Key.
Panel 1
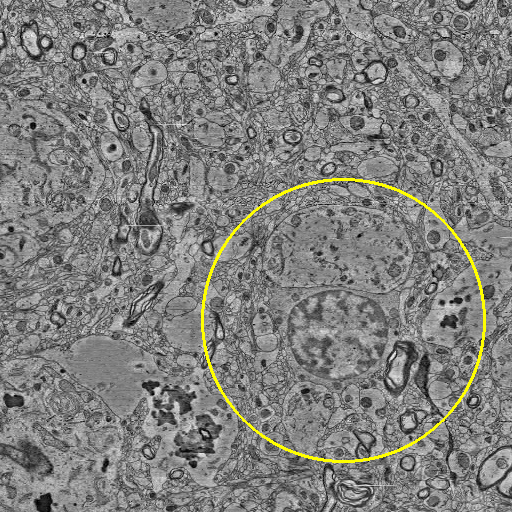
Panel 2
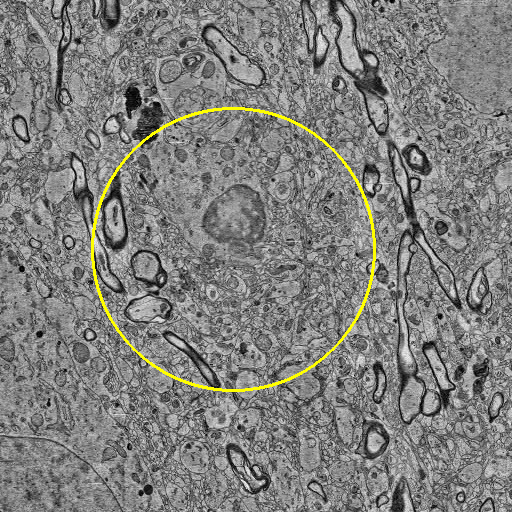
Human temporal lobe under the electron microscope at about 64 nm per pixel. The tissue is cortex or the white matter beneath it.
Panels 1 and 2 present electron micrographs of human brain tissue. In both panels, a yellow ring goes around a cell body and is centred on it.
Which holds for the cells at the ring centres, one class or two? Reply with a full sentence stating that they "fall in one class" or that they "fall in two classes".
Taken together, the ring-centre cells of the two panels fall in one class.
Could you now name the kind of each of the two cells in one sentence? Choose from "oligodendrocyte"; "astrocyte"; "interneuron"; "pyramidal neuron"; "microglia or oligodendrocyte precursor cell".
The cell at the ring centre is an oligodendrocyte in both pictures.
